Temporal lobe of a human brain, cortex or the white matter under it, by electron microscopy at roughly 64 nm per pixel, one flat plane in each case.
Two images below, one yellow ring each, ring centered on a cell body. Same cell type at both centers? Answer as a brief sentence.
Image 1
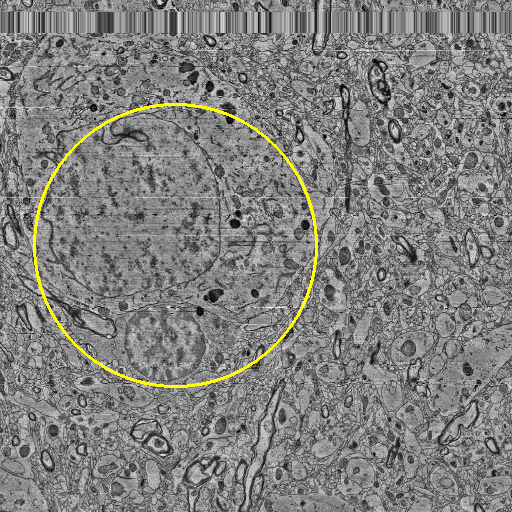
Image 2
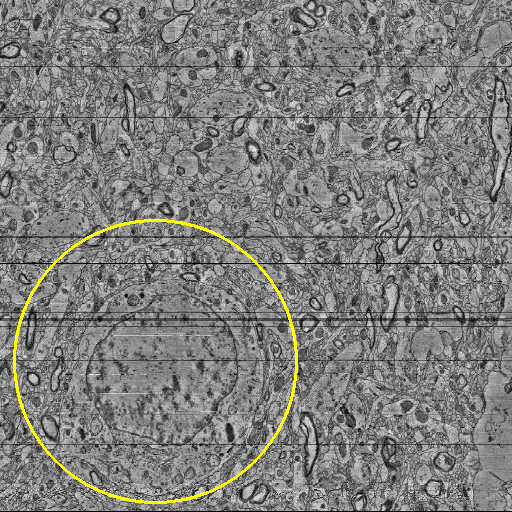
Yes, both cells are of the same type.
